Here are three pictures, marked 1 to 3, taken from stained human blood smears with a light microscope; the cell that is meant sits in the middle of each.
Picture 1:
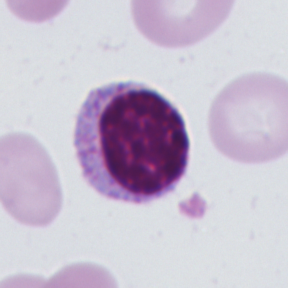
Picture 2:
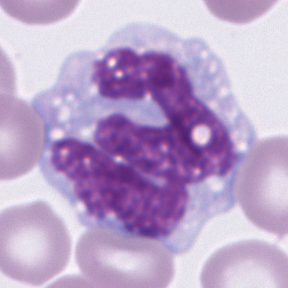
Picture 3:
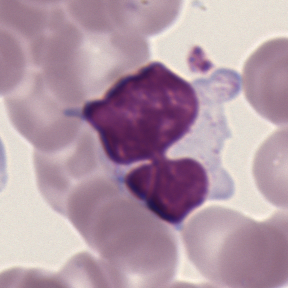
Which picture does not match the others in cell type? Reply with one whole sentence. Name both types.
Picture 2 is the odd one out: it shows a monocyte, while the others show large granular lymphocytes.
